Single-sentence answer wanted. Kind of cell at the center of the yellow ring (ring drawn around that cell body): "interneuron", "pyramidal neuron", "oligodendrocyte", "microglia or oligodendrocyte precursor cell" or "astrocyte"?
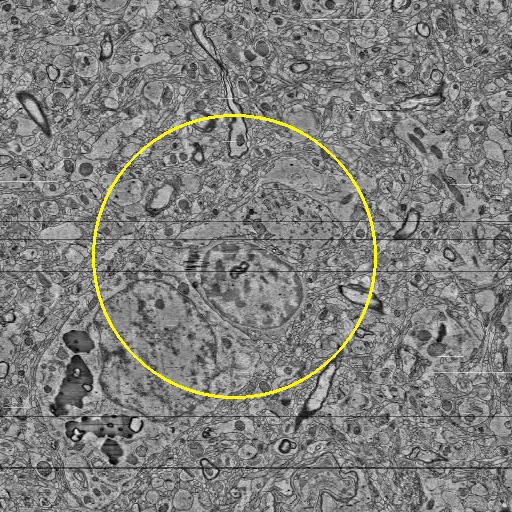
The cell centered in the ring is an oligodendrocyte.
